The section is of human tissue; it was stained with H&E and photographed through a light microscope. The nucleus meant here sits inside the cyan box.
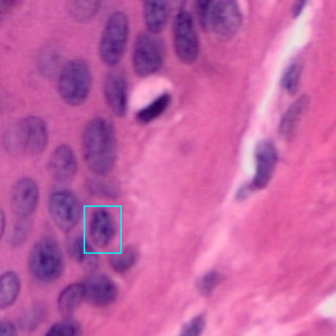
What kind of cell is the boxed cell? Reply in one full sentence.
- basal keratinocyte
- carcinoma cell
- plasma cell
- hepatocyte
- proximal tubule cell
The identity of the boxed cell is that of a basal keratinocyte.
